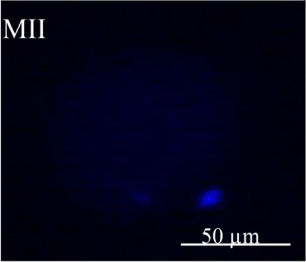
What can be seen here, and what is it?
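A large, round oocyte with dim blue cytoplasm is seen against a dark background, with its outline faint. Two separate, small masses of blue chromatin lie close to the lower edge of the cell. One mass is brighter and more compact than the other, and the two are set a short distance apart. No chromatin is seen in the centre of the cell. No surrounding cells cling to the oocyte.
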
